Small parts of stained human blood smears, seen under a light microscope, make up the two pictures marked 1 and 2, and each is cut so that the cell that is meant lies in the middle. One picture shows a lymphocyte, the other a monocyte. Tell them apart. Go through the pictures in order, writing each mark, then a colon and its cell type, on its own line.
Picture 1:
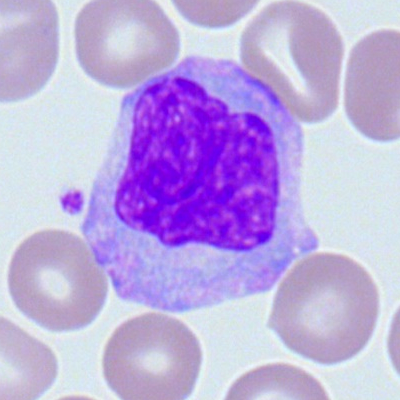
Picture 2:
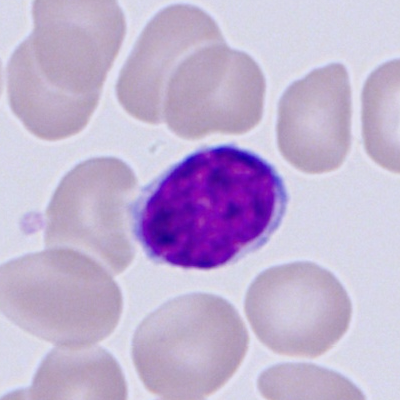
1: monocyte
2: lymphocyte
